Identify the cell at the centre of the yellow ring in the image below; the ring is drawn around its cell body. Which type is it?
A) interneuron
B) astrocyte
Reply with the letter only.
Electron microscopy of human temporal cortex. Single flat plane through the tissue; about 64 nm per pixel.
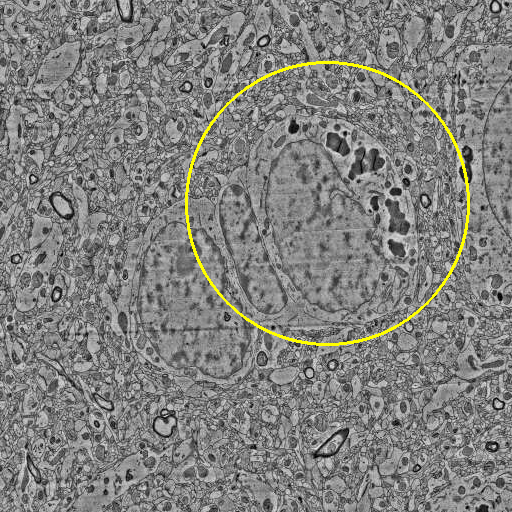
A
